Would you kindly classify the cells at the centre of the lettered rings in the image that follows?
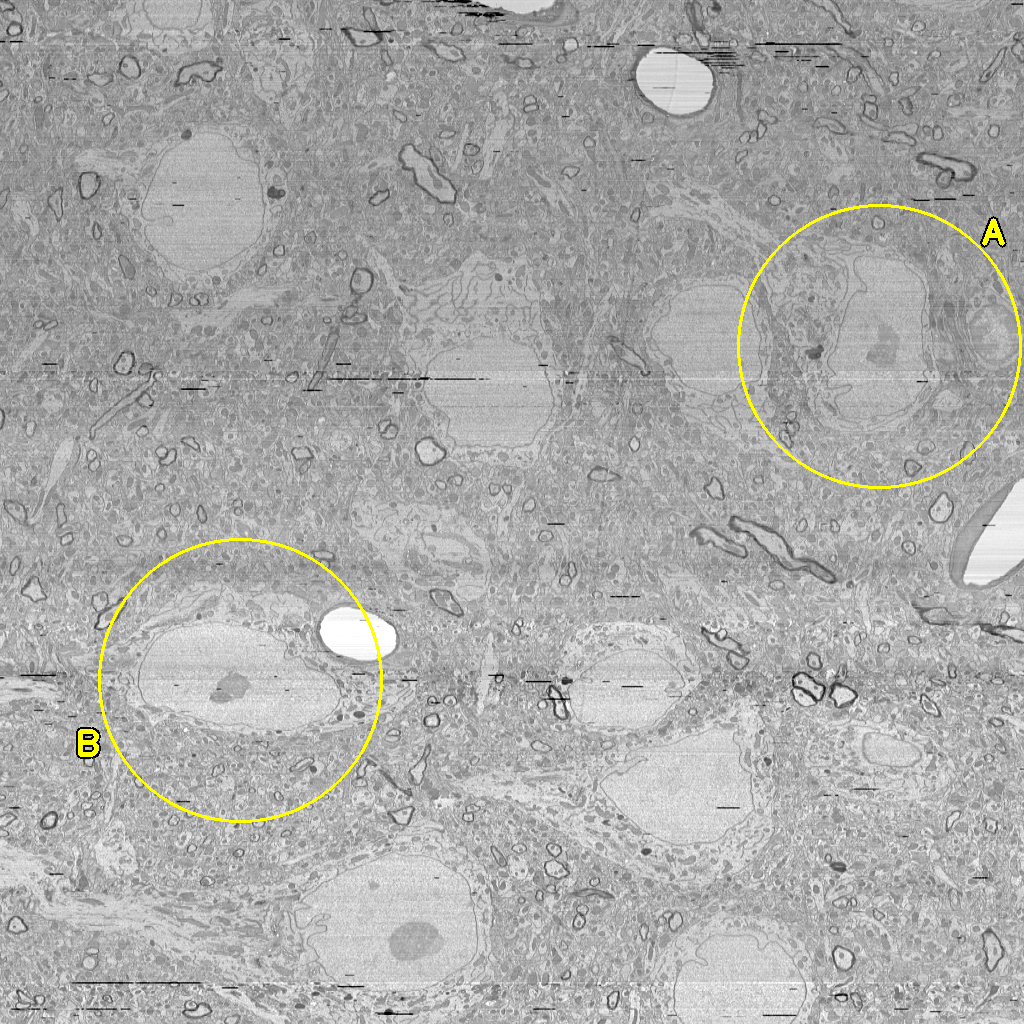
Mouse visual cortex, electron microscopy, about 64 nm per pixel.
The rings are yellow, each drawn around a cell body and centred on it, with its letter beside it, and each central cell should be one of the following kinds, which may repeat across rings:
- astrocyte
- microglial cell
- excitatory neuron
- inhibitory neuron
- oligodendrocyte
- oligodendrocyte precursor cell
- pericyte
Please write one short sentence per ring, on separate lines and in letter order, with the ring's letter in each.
The kind of cell at the centre of ring A is an inhibitory neuron.
The kind of cell at the centre of ring B is an excitatory neuron.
